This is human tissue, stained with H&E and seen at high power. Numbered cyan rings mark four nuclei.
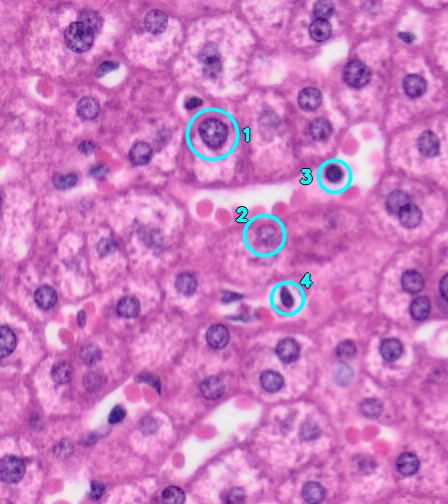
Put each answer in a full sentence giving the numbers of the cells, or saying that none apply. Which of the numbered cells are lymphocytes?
The cells 3 and 4 in this section are lymphocytes.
